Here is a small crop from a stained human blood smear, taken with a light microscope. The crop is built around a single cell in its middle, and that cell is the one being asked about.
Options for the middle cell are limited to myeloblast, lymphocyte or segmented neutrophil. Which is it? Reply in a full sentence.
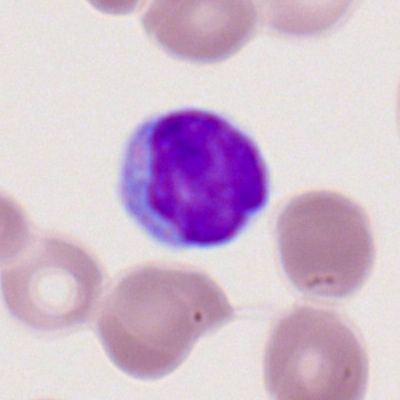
In the middle of this smear crop is a lymphocyte.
